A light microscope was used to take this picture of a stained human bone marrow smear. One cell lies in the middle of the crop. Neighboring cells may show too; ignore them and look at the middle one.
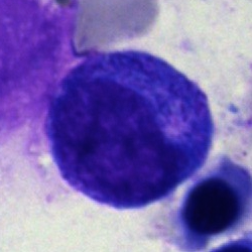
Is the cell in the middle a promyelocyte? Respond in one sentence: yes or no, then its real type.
Yes, the cell that is in the middle is a promyelocyte.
